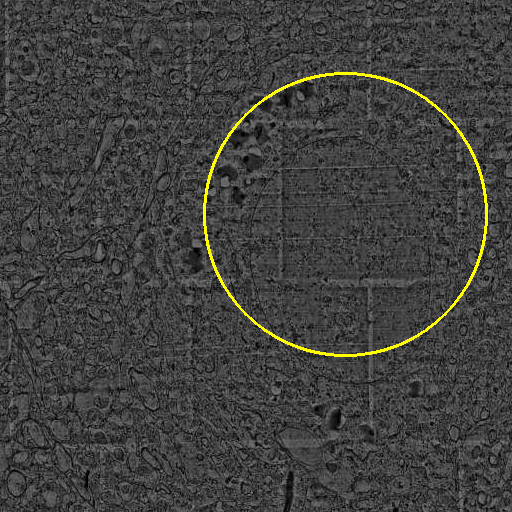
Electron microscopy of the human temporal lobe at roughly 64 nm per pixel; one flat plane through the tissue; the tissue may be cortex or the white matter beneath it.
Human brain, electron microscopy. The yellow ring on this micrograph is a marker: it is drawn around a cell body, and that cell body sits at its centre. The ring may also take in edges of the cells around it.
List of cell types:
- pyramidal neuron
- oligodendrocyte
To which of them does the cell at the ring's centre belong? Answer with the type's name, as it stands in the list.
pyramidal neuron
